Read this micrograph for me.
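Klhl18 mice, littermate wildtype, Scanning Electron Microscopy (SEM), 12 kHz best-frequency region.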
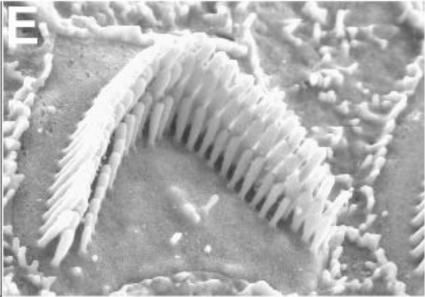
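The apical surface of a sensory hair cell from the inner ear is seen from above and at an angle, carrying a V-shaped bundle of stereocilia. The stereocilia are slender, rod-like and taper toward their base. They stand in several parallel rows that rise in height like a staircase, with the tallest row at the outer edge of the V. The V shape and the graded rows mark this as the stereocilia bundle of an outer hair cell.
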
